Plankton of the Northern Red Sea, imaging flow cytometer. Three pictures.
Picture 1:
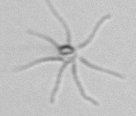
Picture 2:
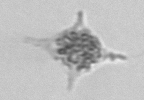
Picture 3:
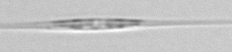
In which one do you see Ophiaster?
In picture 1.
